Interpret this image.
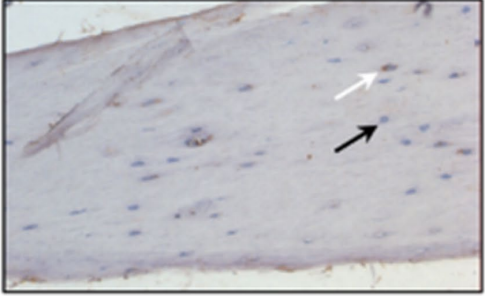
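This is a section of cortical bone in which scattered osteocytes sit within a dense, pale lilac matrix. Most show a blue nucleus, and some are stained brown. At the upper left, a streak of fibrous tissue crosses the surface of the section. The edges of the bone are faintly brown.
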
